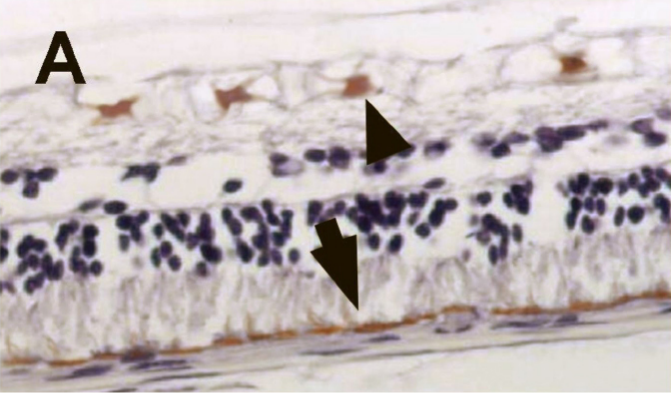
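Section of retina with its layers in order, the innermost at top. Large irregular cells with brown-stained cytoplasm and short processes lie scattered in the innermost layer among pale spaces. Below them runs a row of dark-blue round nuclei, then a thick layer of densely clustered dark nuclei. Beneath this lies a pale, finely striated layer, bordered at its outer edge by a thin brown-stained band of pigment epithelium. Under the band lies a thin tissue with flattened, elongated nuclei.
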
